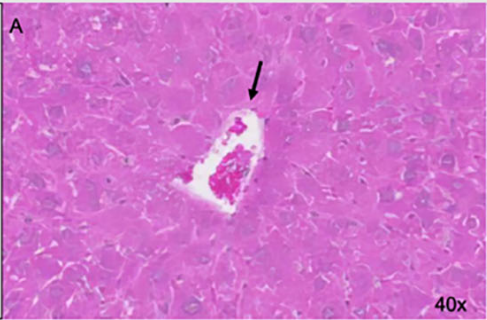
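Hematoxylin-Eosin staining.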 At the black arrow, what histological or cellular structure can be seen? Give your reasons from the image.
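The arrow points to a vessel lumen containing red blood cells. Plates of pink polygonal hepatocytes surround the vessel.
Answer: central lobular veins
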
